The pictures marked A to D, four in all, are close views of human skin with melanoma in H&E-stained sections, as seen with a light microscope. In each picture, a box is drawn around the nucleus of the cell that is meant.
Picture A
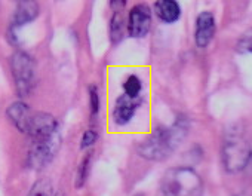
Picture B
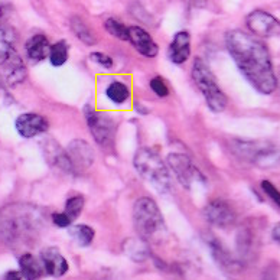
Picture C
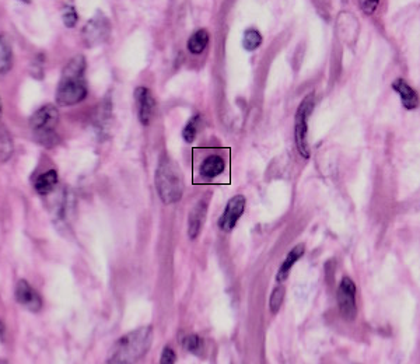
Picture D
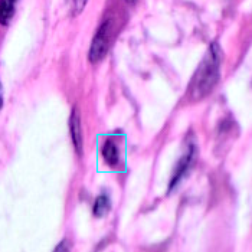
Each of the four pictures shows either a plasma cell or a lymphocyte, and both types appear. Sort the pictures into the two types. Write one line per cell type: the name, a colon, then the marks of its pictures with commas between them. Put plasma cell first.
plasma cell: C, D
lymphocyte: A, B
